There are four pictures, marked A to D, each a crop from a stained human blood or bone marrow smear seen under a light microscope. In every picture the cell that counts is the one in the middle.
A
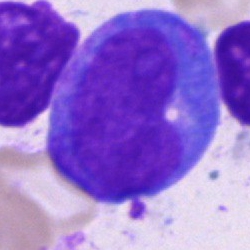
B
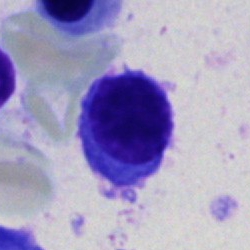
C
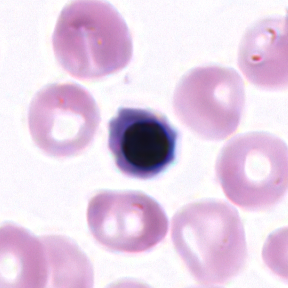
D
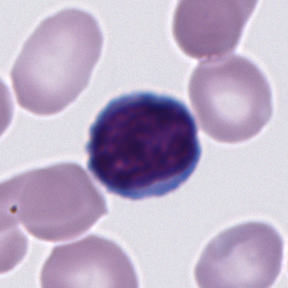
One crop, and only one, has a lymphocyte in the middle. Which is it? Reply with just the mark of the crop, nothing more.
D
